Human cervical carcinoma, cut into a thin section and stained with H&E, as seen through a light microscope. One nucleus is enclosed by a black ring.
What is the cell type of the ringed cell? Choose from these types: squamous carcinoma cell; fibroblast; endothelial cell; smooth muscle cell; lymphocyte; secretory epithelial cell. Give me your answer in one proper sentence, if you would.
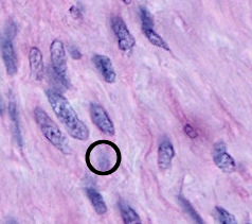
By cell type, the ringed cell is a smooth muscle cell.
